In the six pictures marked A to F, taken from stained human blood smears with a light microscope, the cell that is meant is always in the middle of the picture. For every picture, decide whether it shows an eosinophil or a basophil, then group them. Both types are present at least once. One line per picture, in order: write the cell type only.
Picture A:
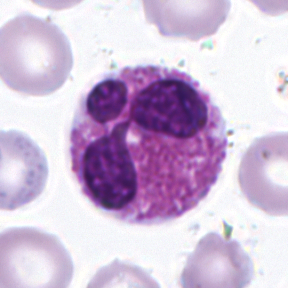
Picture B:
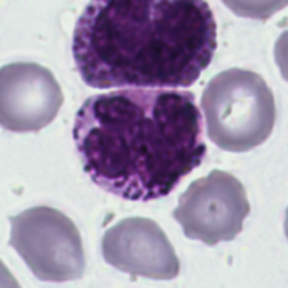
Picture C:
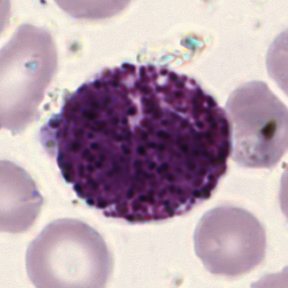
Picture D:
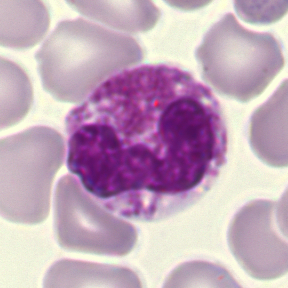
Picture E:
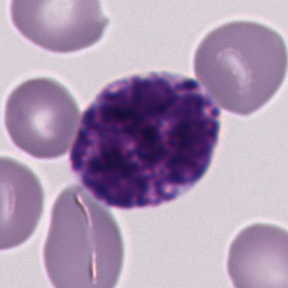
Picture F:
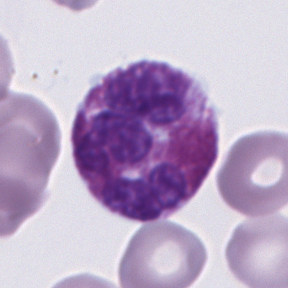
eosinophil
basophil
basophil
eosinophil
basophil
eosinophil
